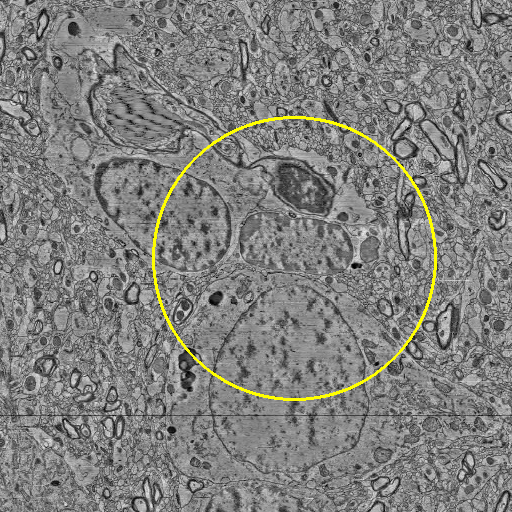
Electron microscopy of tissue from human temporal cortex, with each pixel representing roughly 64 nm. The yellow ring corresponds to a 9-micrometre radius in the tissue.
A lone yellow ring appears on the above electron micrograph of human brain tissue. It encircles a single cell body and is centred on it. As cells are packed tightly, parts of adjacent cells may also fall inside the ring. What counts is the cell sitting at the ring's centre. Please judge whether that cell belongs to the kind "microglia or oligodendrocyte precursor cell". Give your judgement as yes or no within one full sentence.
Yes, the cell lying at the centre of the ring in the picture belongs to this kind.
